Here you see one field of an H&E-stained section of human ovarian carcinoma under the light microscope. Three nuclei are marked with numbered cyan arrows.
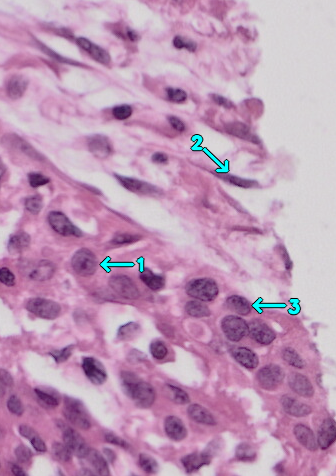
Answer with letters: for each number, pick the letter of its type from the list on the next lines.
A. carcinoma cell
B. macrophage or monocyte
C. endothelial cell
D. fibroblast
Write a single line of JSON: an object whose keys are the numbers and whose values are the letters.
{"1": "A", "2": "D", "3": "A"}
